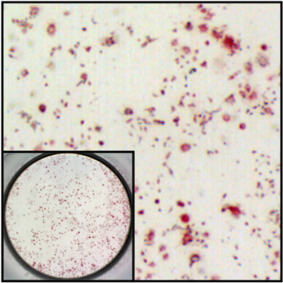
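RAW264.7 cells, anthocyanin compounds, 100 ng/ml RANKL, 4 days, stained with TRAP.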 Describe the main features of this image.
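A sparse culture of small, round, red-stained cells on a pale background, with no large spread osteoclasts to be seen. The cells are scattered singly or in small clusters, and the stain varies from faint pink to deep red. Much of the field between them is empty.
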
